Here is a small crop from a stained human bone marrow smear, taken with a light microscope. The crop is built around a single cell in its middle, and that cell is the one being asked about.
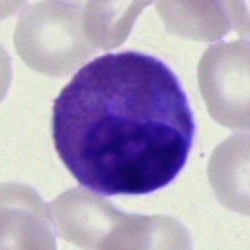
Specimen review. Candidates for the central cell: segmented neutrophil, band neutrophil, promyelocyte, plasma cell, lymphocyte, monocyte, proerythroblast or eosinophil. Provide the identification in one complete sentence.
The central cell in this smear crop is an eosinophil.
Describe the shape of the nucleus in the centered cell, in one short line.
The nucleus amounts to one compact mass with a round, oval or kidney-shaped outline.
